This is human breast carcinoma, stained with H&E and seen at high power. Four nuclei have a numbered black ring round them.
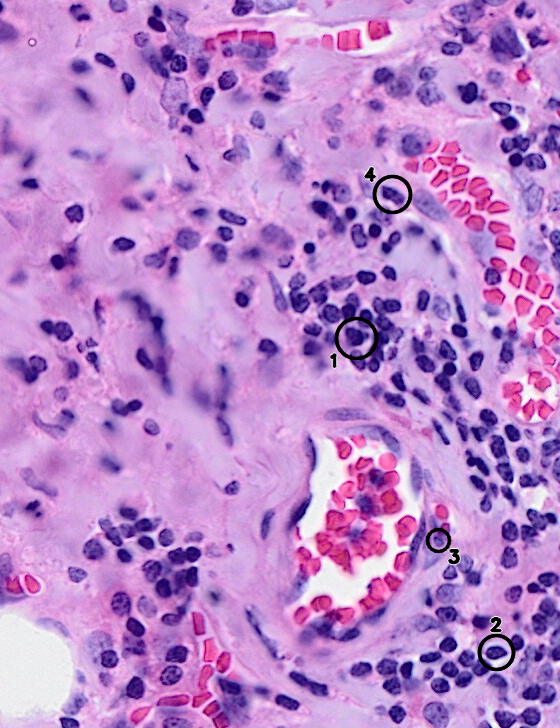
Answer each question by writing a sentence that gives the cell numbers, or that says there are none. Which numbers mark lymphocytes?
Cells that were given the numbers 1, 2 and 4 are lymphocytes.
